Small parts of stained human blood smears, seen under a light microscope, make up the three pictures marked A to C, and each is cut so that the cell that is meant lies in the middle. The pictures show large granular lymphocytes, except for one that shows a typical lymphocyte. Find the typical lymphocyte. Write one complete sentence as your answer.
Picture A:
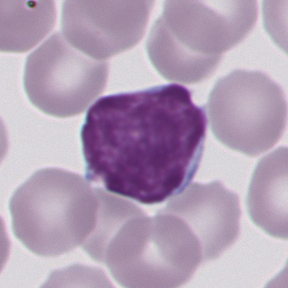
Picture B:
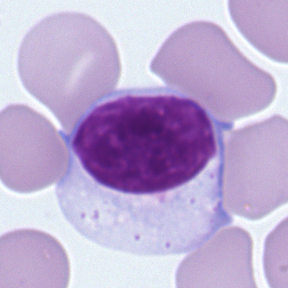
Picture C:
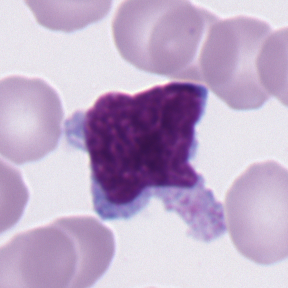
Picture A is the one that shows the typical lymphocyte.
